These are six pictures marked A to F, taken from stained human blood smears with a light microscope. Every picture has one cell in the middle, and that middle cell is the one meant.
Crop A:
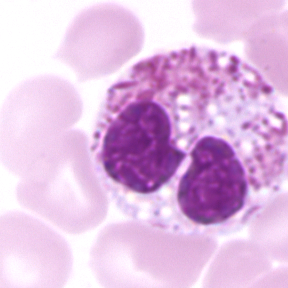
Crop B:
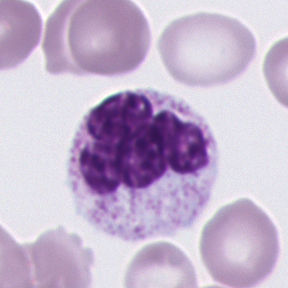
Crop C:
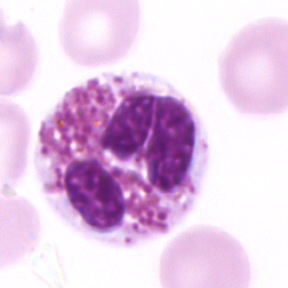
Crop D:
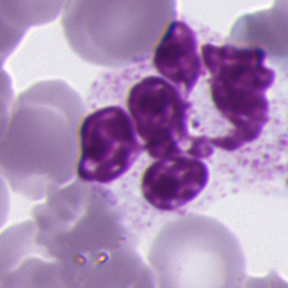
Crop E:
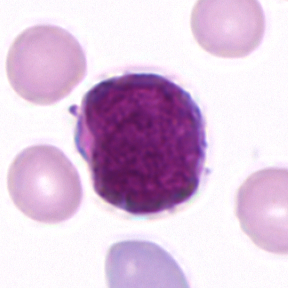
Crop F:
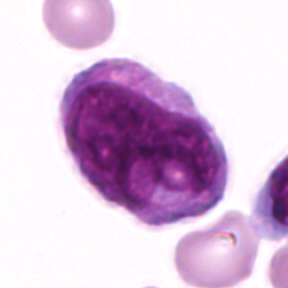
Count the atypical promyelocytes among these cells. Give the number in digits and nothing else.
2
